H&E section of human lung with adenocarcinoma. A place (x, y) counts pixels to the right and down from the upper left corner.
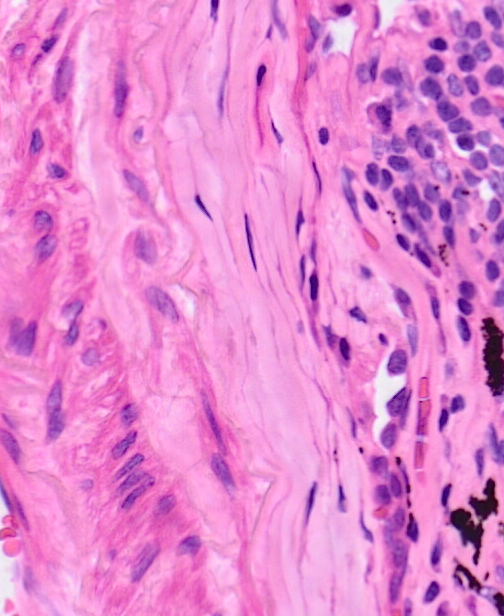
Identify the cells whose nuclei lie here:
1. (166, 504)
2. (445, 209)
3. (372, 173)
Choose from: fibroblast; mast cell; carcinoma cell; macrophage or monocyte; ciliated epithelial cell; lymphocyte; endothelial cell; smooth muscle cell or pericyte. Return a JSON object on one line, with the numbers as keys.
{"1": "smooth muscle cell or pericyte", "2": "lymphocyte", "3": "lymphocyte"}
